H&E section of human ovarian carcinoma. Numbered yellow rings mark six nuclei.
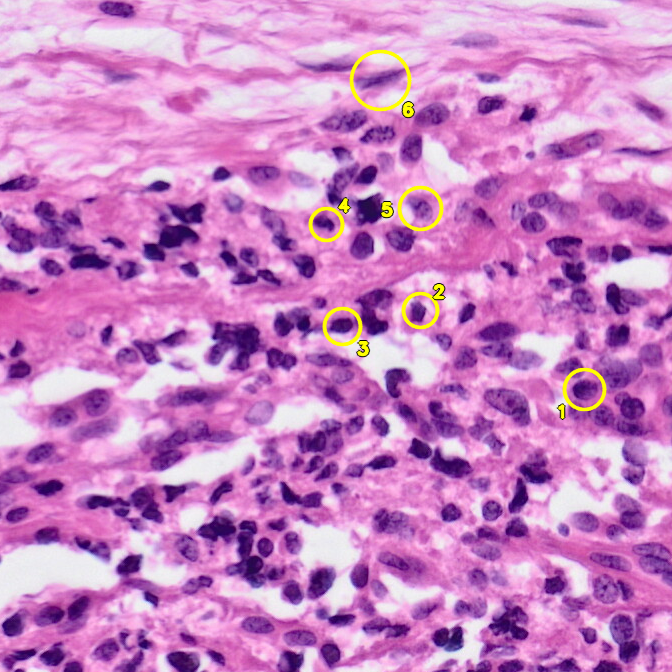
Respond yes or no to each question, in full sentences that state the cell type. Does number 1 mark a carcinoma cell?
Yes, the cell marked by the number 1 is a carcinoma cell.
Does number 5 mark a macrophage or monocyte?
Yes, in this tissue section, number 5 is a macrophage or monocyte.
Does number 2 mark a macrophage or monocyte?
Yes, a macrophage or monocyte is what the cell numbered 2 is.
